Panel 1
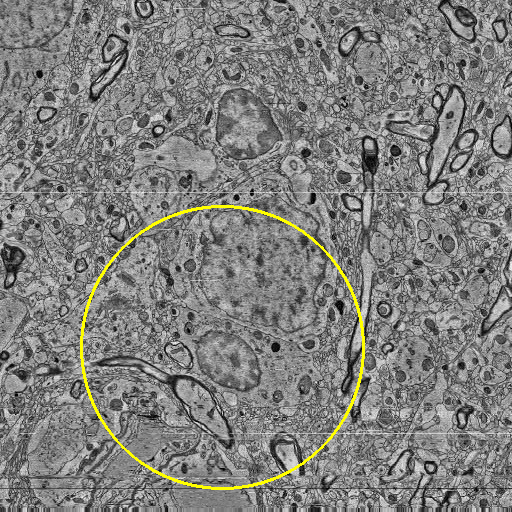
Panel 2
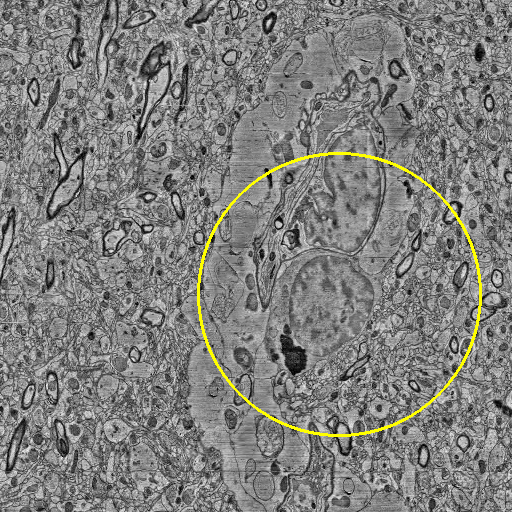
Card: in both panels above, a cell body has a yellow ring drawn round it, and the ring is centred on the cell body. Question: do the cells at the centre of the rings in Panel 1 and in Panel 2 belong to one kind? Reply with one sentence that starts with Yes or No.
Yes, the cells centred in the rings of Panel 1 and Panel 2 are one kind of cell.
